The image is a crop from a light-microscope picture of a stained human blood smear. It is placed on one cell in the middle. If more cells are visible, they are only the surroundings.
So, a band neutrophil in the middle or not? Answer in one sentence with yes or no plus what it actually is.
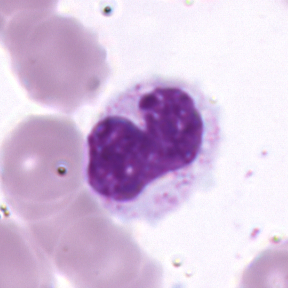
Yes, the cell that the crop is centered on is a band neutrophil.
